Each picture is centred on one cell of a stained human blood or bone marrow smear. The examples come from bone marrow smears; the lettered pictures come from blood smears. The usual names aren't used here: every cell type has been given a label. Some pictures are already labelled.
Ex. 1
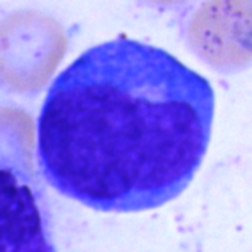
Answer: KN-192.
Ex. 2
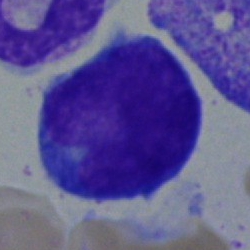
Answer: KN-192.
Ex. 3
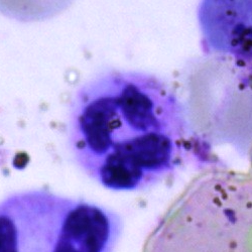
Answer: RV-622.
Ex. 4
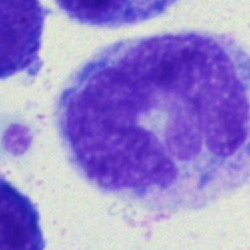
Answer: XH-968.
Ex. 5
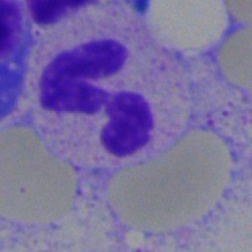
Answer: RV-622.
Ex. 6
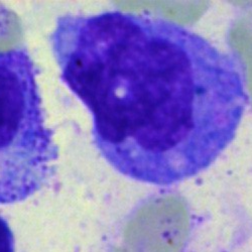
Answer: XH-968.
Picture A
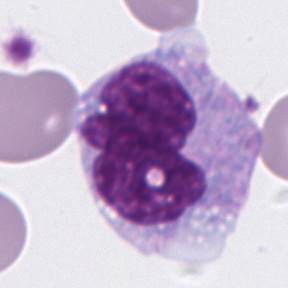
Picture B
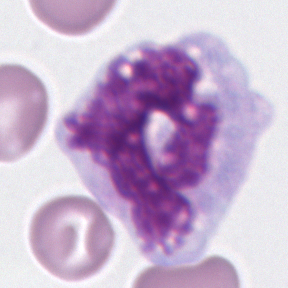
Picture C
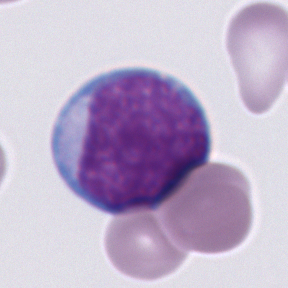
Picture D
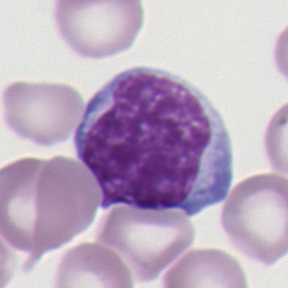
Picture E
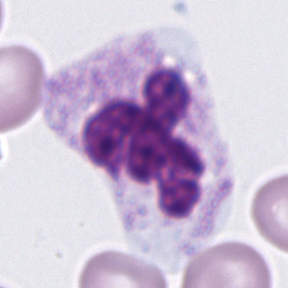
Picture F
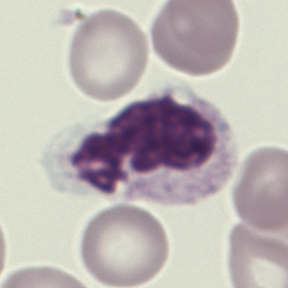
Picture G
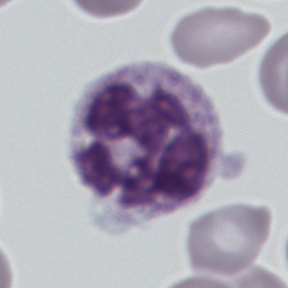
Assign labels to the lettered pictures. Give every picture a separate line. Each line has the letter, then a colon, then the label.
A: XH-968.
B: XH-968.
C: KN-192.
D: KN-192.
E: RV-622.
F: RV-622.
G: RV-622.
